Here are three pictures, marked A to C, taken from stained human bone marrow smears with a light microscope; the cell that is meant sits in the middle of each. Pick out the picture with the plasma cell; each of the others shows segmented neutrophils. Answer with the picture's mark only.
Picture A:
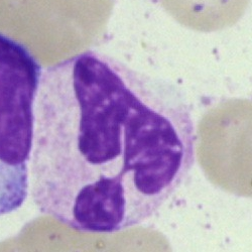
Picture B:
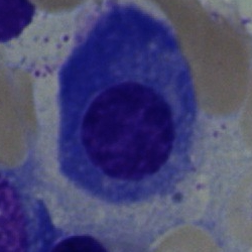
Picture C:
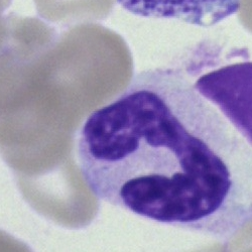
B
